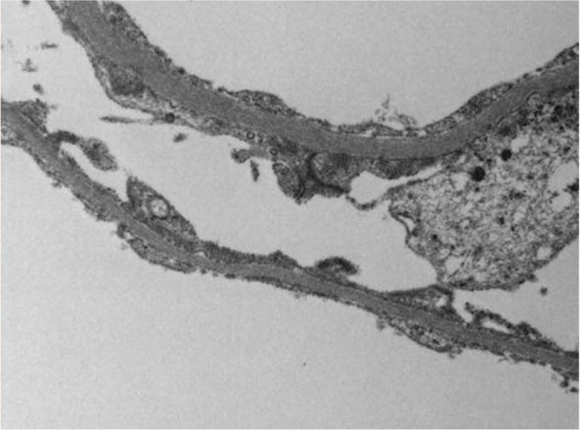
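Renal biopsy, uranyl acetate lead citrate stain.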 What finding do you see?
Diffuse podocyte foot process effacement.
